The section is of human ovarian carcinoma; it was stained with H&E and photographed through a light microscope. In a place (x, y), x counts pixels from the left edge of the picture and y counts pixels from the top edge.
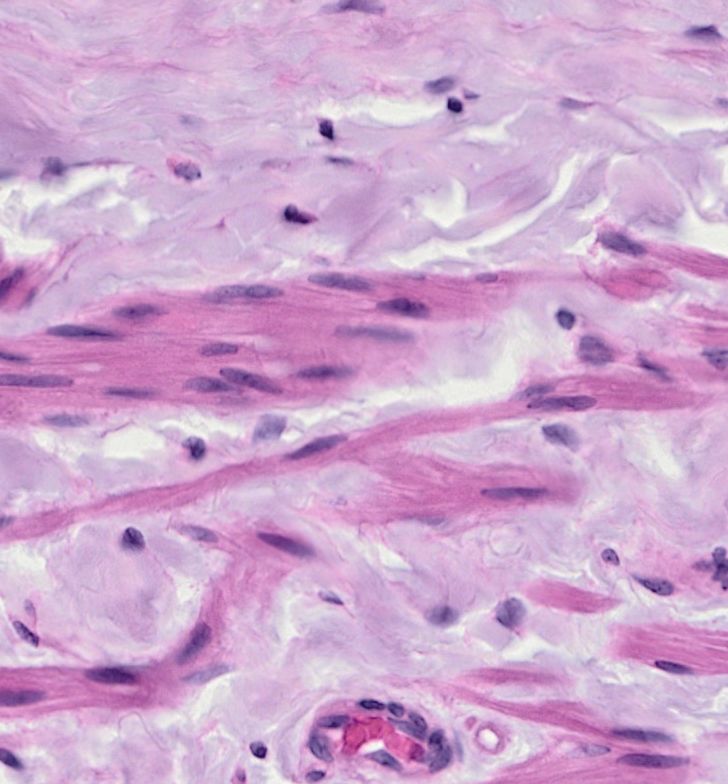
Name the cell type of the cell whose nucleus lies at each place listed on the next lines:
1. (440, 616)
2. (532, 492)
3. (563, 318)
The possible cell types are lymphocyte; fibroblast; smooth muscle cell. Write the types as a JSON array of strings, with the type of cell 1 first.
["fibroblast", "smooth muscle cell", "lymphocyte"]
